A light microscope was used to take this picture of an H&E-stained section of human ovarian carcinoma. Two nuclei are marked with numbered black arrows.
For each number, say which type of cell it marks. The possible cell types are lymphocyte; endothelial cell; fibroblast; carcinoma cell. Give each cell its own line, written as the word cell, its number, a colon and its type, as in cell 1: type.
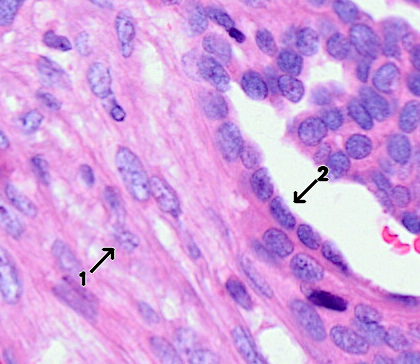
cell 1: fibroblast
cell 2: carcinoma cell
